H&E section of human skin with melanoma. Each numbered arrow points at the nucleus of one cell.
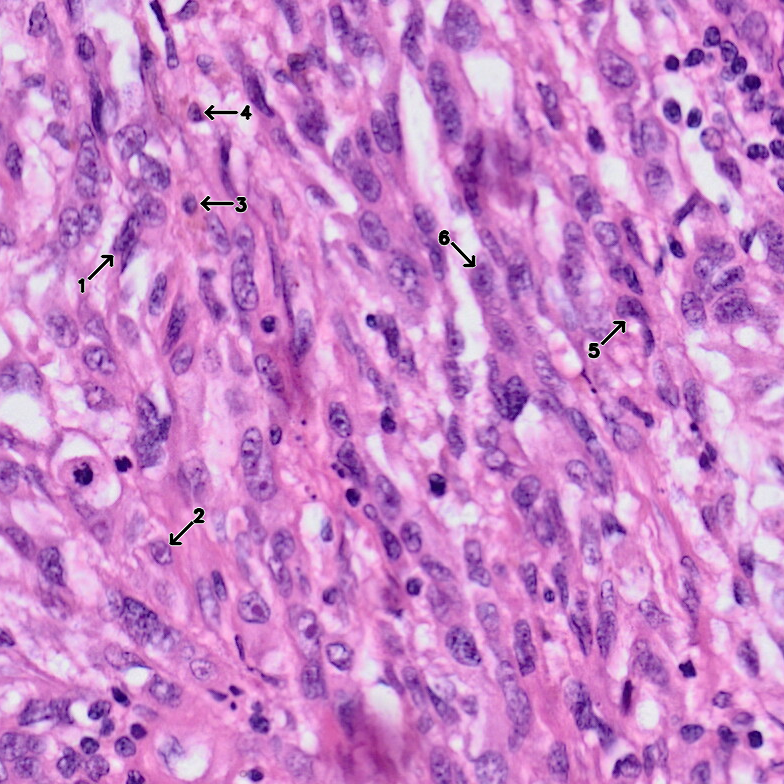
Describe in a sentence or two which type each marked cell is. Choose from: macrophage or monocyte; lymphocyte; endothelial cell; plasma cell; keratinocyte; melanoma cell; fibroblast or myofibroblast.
Cell 1 is a melanoma cell, cell 2 is a melanoma cell, cell 3 is a macrophage or monocyte, cell 4 is a macrophage or monocyte, cell 5 is a melanoma cell and cell 6 is a melanoma cell.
